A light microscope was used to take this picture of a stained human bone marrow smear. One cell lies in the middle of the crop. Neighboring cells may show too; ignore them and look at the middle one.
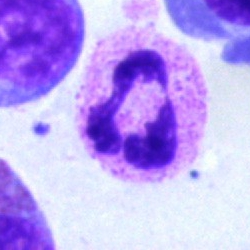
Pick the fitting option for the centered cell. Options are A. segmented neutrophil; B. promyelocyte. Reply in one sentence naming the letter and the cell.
Correctly, option A names the cell in the middle a segmented neutrophil.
